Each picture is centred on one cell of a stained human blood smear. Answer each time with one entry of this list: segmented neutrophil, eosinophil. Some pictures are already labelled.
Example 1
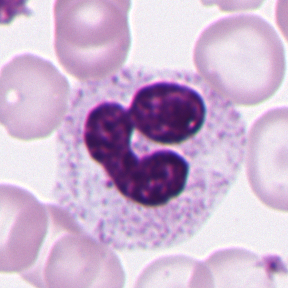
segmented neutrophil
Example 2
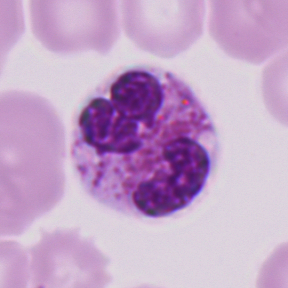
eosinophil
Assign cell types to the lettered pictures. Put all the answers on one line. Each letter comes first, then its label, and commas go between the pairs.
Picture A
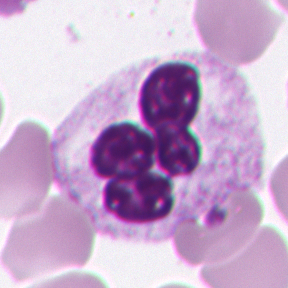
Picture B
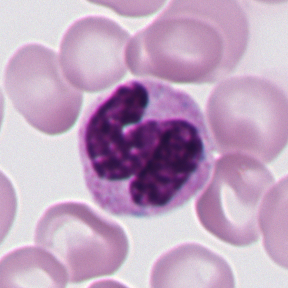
A segmented neutrophil, B segmented neutrophil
